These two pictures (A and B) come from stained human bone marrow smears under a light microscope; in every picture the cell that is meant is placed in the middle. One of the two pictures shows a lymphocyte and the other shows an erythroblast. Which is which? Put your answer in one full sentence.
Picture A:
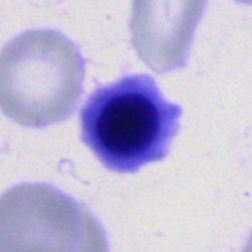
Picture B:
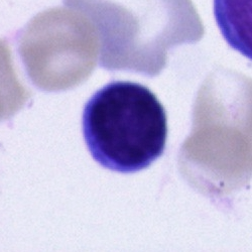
Picture A shows an erythroblast and picture B shows a lymphocyte.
